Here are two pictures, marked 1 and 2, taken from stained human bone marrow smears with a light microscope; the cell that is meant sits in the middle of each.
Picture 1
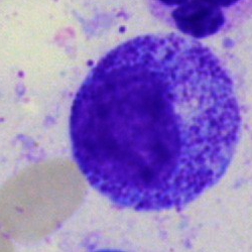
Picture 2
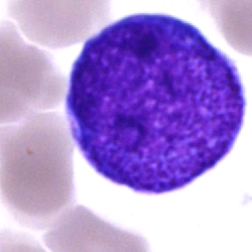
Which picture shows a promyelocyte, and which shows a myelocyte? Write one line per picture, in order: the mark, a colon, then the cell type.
1: myelocyte
2: promyelocyte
